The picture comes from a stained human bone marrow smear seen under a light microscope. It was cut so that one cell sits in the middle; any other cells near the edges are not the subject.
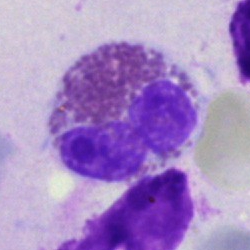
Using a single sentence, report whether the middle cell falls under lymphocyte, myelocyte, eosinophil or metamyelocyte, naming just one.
Here the cell in the middle is an eosinophil.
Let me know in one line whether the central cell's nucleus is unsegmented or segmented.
It is worth mentioning that the nucleus carries two or more lobes.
